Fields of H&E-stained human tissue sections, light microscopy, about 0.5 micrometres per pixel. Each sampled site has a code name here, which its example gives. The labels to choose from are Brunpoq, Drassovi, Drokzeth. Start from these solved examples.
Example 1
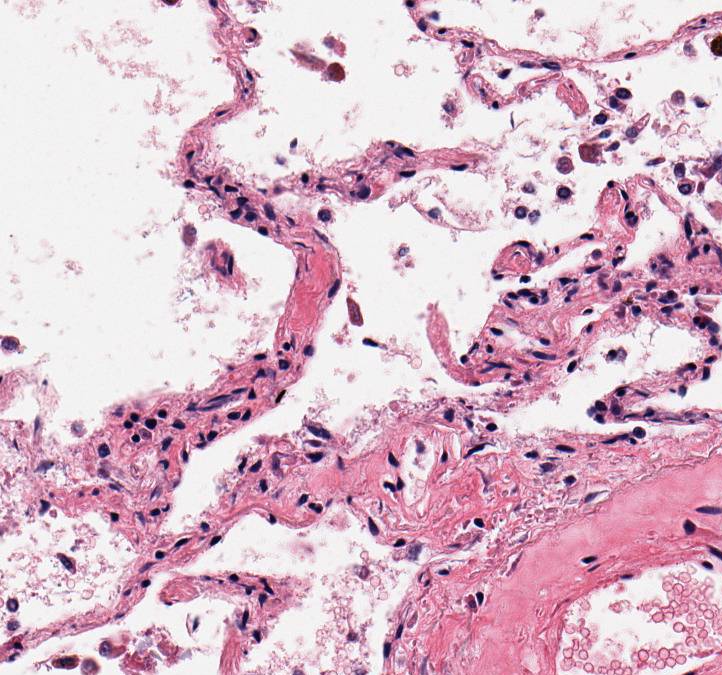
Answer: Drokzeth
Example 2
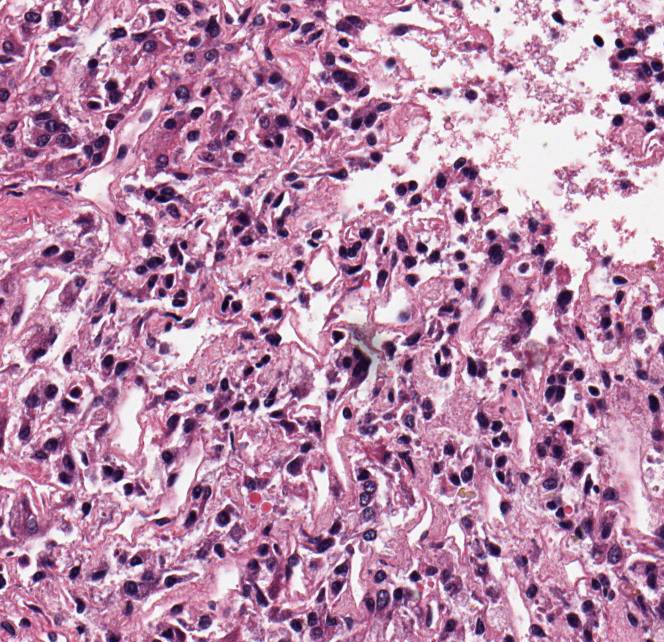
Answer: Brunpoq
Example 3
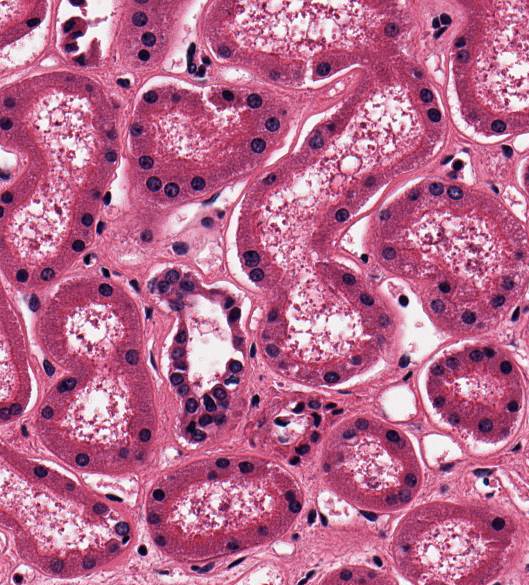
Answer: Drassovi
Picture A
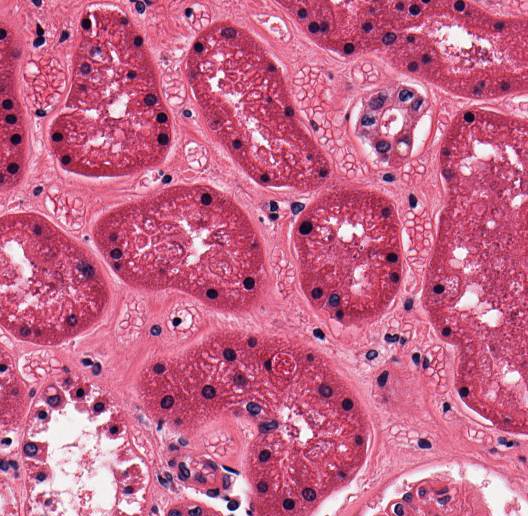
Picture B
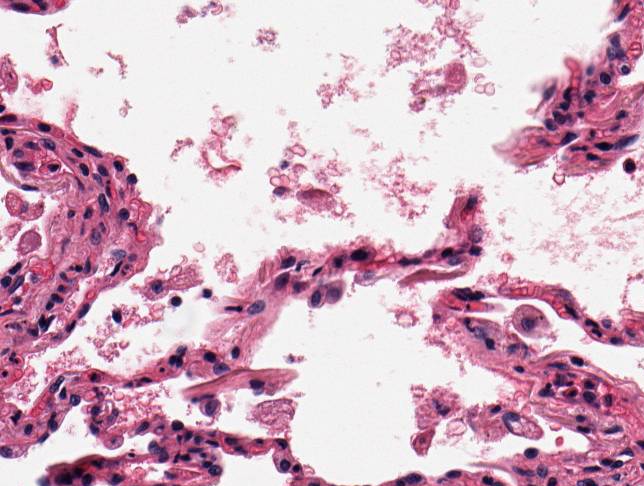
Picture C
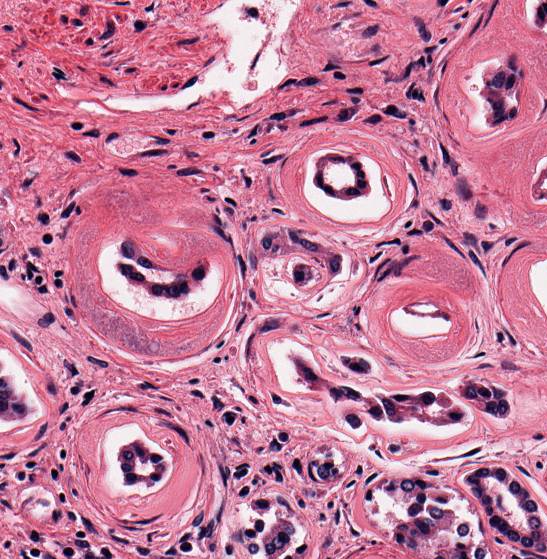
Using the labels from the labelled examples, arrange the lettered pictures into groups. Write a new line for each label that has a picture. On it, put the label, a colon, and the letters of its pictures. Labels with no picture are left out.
Drassovi: A, C
Drokzeth: B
